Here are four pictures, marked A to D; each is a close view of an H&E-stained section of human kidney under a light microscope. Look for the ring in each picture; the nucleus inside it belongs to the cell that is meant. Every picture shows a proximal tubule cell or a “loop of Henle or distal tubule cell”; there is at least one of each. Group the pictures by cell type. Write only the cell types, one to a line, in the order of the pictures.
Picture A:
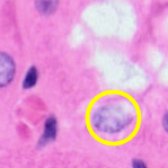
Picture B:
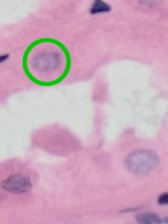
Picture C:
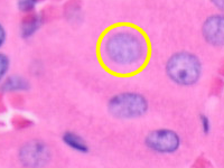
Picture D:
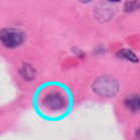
proximal tubule cell
proximal tubule cell
proximal tubule cell
loop of Henle or distal tubule cell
